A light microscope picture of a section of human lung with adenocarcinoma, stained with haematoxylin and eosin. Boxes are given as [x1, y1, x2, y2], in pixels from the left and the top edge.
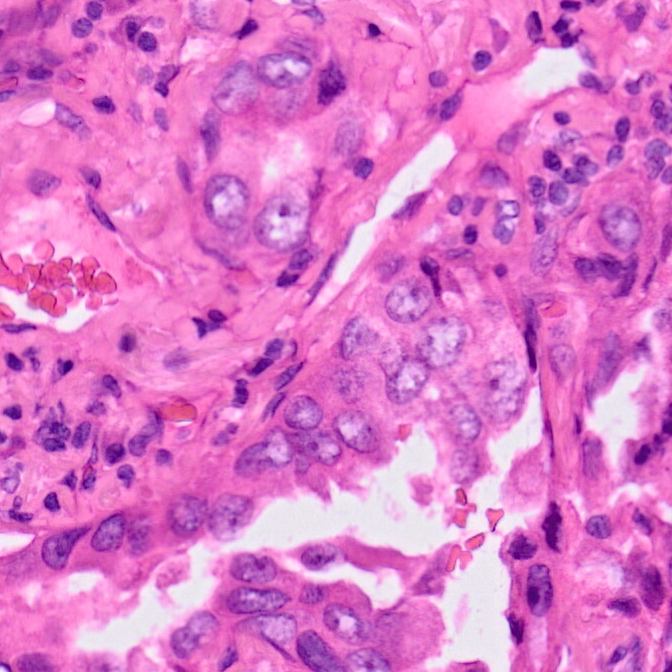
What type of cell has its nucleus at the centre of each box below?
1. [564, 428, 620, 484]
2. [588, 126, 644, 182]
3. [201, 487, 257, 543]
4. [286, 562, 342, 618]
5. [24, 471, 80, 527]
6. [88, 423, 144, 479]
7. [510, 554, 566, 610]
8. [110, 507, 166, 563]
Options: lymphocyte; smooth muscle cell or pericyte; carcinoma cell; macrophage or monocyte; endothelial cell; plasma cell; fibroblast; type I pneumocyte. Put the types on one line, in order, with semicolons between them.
carcinoma cell; lymphocyte; carcinoma cell; carcinoma cell; lymphocyte; plasma cell; carcinoma cell; carcinoma cell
